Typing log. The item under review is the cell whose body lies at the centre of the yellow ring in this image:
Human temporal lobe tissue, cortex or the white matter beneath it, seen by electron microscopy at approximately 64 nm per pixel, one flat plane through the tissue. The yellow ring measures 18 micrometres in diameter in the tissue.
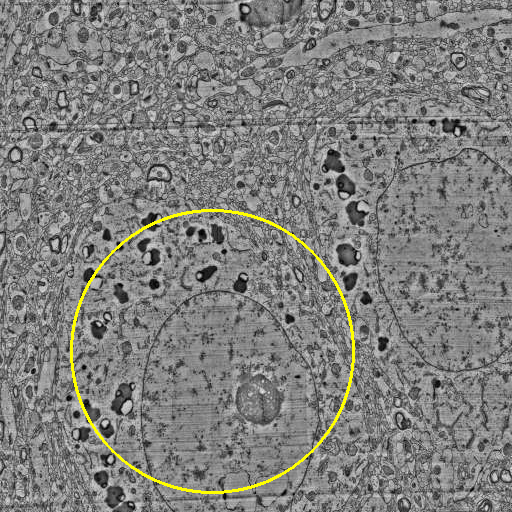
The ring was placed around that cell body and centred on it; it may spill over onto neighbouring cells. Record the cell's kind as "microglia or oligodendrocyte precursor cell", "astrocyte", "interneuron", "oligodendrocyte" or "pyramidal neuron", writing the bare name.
pyramidal neuron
